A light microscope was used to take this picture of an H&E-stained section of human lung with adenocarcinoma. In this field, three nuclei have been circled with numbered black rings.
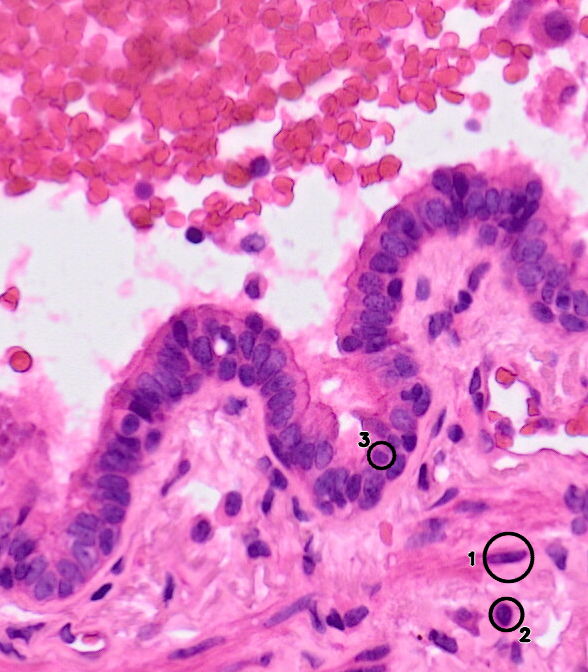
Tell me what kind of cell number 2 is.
mast cell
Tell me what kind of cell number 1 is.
smooth muscle cell or pericyte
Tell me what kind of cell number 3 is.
ciliated epithelial cell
